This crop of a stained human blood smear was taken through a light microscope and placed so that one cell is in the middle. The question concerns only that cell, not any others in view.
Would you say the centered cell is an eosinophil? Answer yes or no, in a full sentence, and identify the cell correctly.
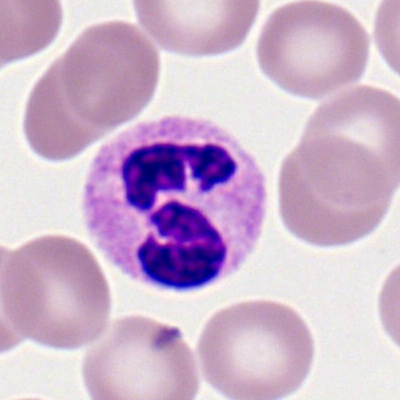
No, the central cell is a segmented neutrophil, not an eosinophil.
